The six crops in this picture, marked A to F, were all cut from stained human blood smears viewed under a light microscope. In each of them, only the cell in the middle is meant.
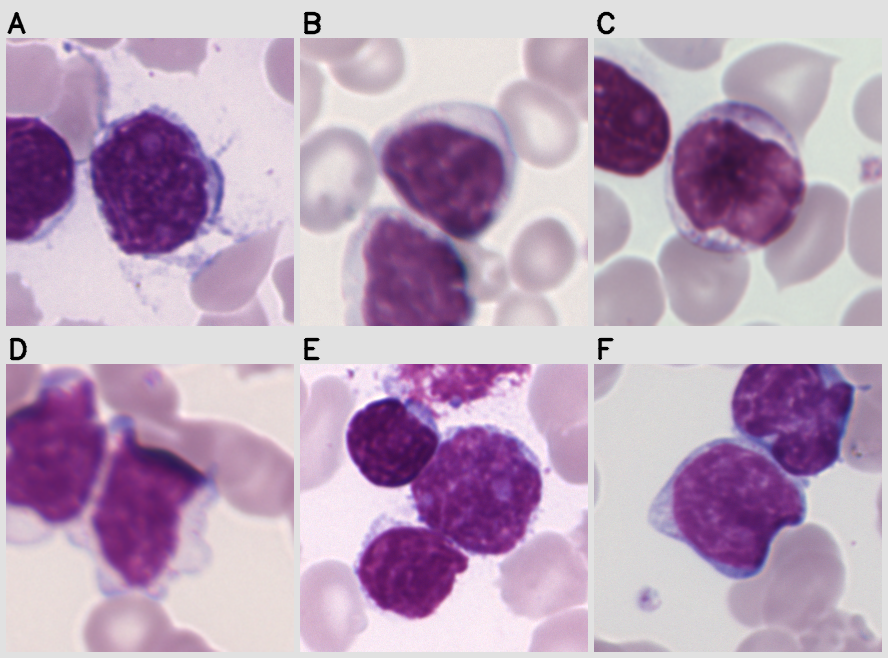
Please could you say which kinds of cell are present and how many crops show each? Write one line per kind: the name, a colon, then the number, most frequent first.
large granular lymphocyte: 4
myeloblast: 2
